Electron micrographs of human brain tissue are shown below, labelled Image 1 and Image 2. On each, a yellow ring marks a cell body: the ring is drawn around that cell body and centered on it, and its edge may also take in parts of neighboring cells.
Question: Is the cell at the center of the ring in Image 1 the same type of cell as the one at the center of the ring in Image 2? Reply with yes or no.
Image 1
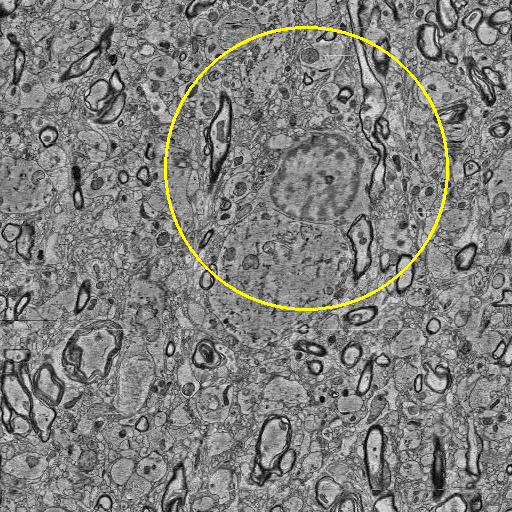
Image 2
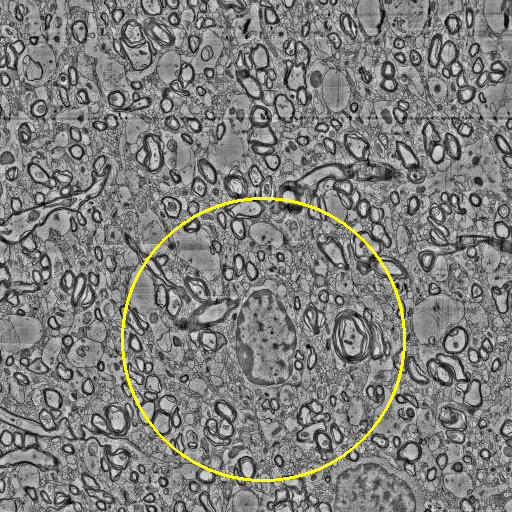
no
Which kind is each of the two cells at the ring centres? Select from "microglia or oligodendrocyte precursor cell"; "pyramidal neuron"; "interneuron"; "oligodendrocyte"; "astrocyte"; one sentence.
The cell at the centre of the ring is an oligodendrocyte in the first picture and a microglial cell or oligodendrocyte precursor cell in the second.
